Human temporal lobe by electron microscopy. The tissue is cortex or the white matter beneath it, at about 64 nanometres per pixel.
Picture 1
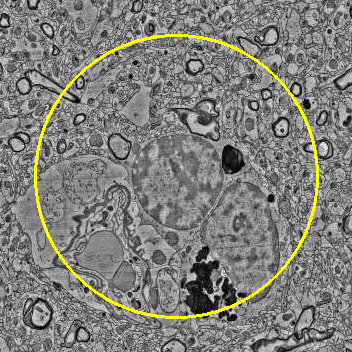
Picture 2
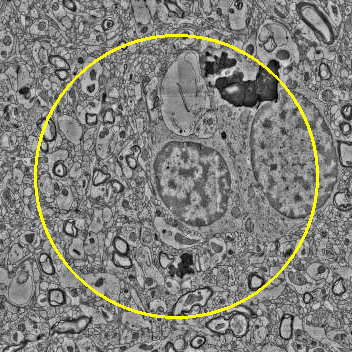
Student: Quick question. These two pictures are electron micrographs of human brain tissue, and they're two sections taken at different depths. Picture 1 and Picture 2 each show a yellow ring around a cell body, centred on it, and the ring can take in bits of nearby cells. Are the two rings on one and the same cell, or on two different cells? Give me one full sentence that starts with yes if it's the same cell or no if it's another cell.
No, the yellow rings mark two separate cells, not one.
